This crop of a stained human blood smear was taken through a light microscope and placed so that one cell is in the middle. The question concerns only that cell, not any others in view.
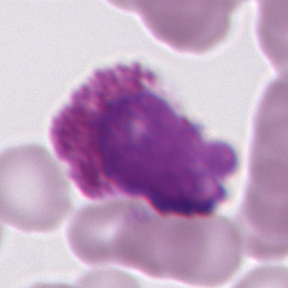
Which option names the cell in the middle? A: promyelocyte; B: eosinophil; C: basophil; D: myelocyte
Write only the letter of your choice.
B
